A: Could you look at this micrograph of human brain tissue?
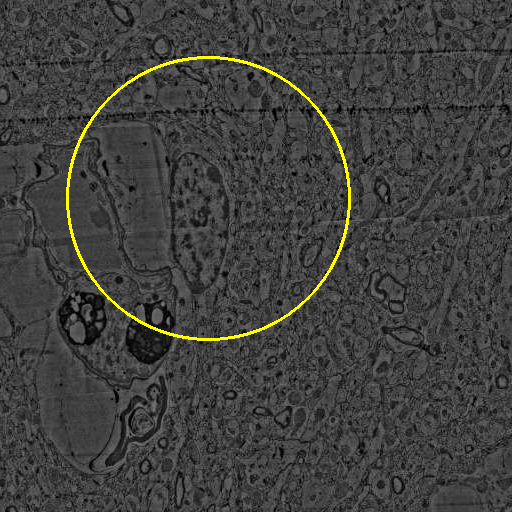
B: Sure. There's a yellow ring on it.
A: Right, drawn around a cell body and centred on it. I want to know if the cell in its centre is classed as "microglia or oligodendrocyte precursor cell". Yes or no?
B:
yes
